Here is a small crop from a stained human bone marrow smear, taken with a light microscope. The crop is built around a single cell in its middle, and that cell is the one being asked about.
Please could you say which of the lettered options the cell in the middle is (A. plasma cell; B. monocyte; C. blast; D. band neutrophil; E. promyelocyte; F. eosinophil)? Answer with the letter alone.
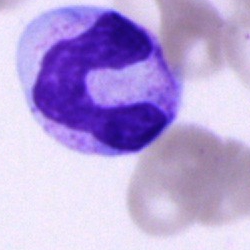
D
